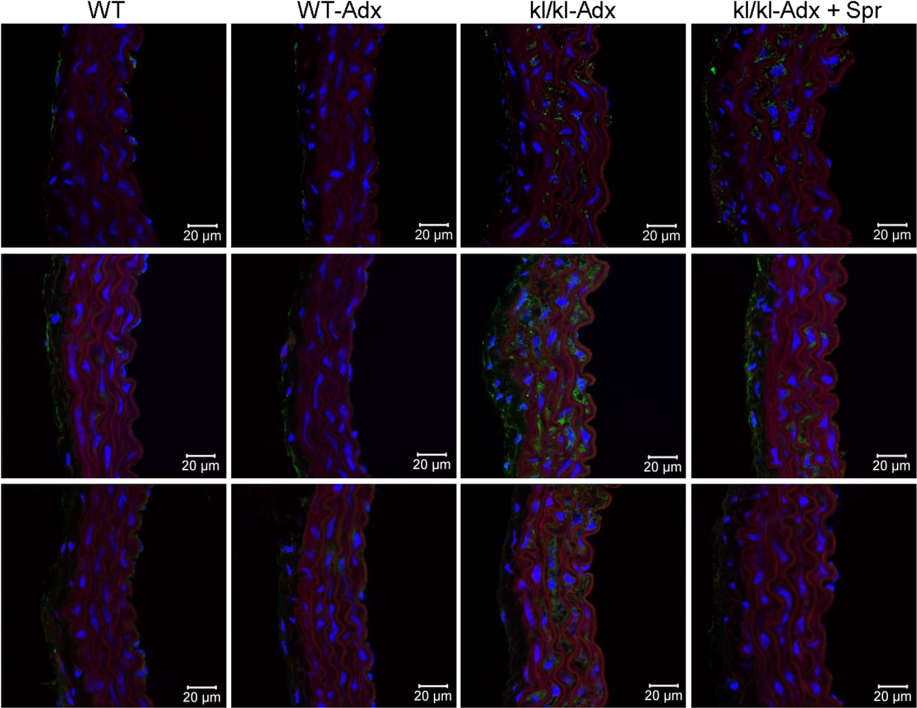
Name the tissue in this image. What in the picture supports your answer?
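Wavy, parallel red bands run along the length of each wall. Elongated blue nuclei lie between the wavy bands. The wall is a band several layers thick with empty dark space on either side.
Hence: aortic tissues.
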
